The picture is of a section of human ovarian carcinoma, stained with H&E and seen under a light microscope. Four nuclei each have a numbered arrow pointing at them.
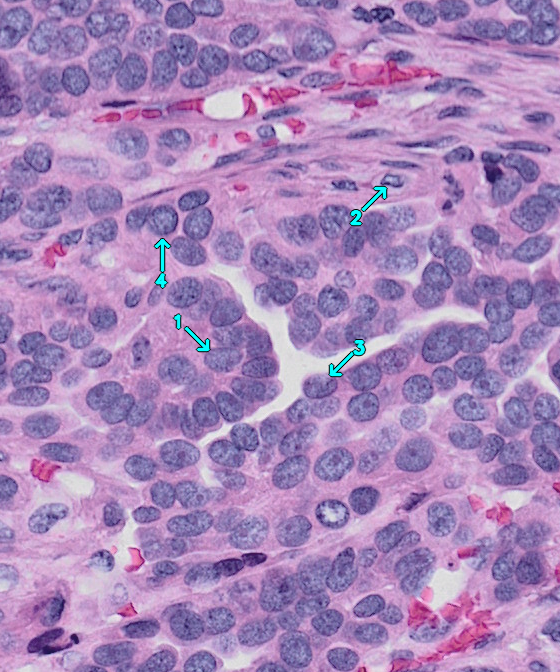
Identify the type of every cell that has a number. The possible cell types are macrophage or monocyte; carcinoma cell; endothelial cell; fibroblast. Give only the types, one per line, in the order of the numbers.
carcinoma cell
fibroblast
carcinoma cell
carcinoma cell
